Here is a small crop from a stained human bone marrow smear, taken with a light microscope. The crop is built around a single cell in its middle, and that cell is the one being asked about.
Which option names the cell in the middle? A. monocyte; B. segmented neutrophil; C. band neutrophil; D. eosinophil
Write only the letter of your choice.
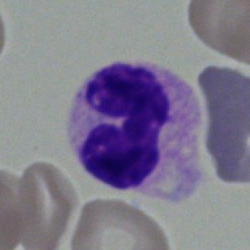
B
